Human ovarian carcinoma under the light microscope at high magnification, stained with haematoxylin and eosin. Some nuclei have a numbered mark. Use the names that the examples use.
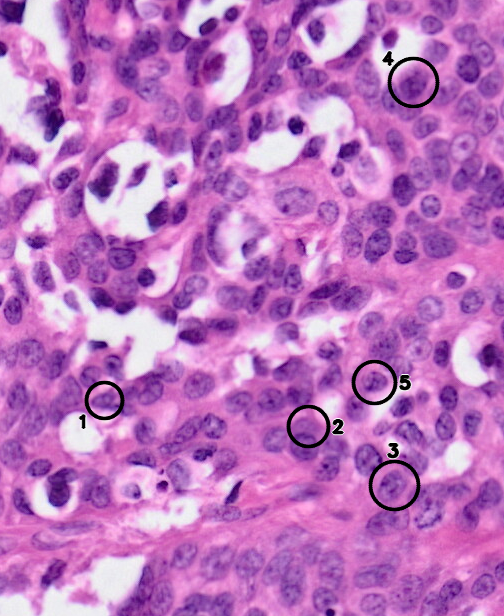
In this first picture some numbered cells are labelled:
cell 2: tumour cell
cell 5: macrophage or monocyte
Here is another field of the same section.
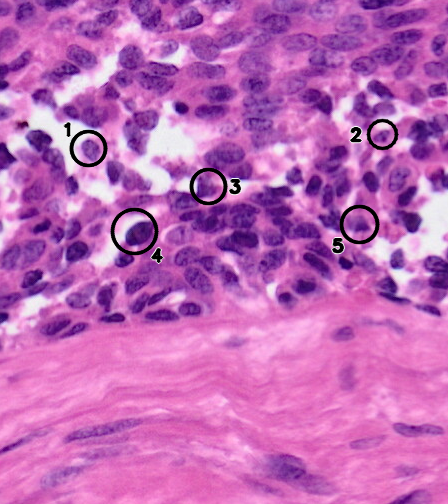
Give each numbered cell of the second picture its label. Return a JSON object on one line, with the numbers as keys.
{"1": "macrophage or monocyte", "2": "macrophage or monocyte", "3": "tumour cell", "4": "tumour cell", "5": "macrophage or monocyte"}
